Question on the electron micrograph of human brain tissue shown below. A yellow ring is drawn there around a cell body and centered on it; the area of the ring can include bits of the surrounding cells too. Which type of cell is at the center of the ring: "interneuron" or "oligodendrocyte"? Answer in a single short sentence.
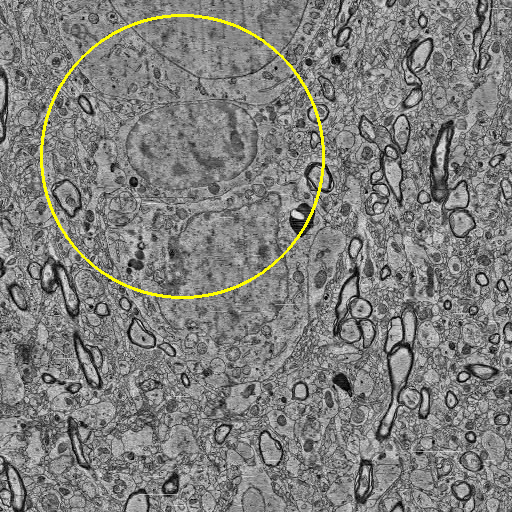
The ring is centered on an oligodendrocyte.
